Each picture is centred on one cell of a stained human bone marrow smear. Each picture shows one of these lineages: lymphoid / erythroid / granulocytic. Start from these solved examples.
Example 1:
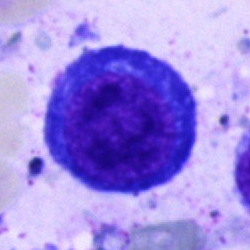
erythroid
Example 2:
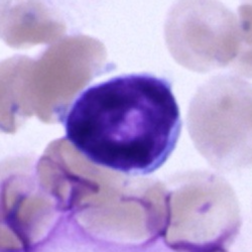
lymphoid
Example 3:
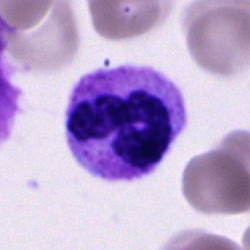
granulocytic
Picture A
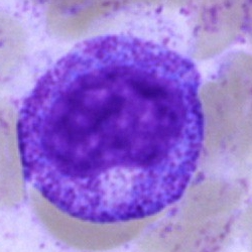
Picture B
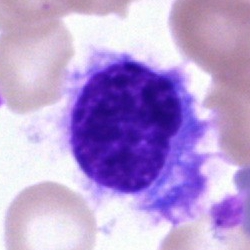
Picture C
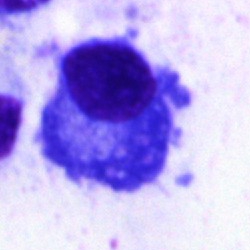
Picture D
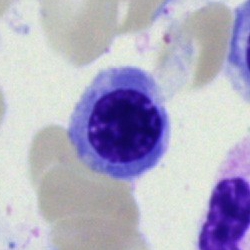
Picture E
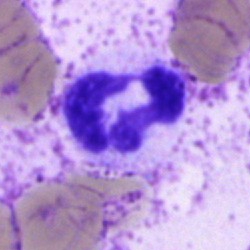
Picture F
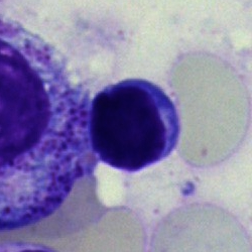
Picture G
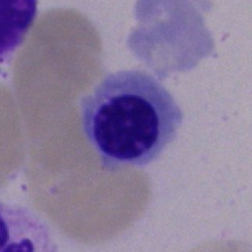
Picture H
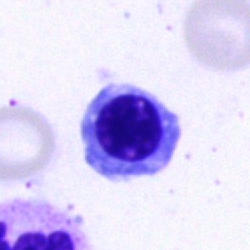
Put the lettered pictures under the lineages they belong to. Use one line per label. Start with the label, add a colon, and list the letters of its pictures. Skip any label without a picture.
lymphoid: B, C, F
erythroid: D, G, H
granulocytic: A, E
